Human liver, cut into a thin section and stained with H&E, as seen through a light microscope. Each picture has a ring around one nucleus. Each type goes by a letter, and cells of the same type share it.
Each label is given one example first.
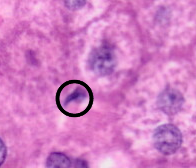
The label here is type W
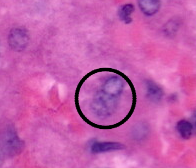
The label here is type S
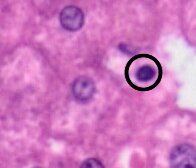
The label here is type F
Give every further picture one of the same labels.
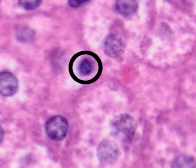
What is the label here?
type F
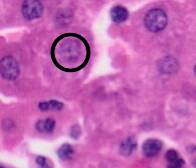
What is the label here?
type S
